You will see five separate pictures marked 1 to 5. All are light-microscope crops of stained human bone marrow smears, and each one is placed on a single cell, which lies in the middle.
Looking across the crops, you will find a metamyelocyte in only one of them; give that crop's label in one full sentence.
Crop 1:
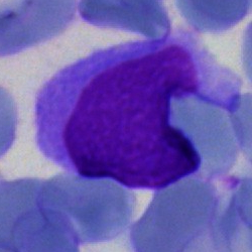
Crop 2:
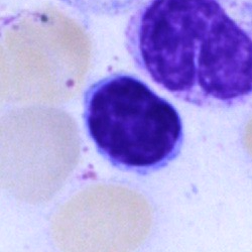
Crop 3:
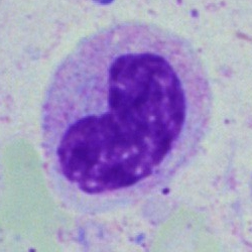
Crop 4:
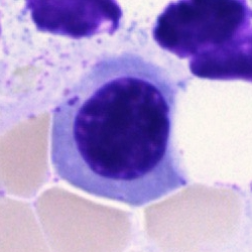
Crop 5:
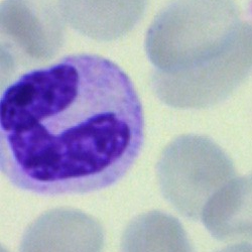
Crop 3 is the one to choose: it shows a metamyelocyte.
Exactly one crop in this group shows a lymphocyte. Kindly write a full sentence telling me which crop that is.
In the set of crops, crop 2 is the one that contains a lymphocyte.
